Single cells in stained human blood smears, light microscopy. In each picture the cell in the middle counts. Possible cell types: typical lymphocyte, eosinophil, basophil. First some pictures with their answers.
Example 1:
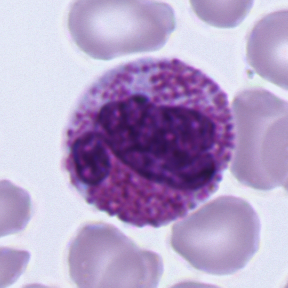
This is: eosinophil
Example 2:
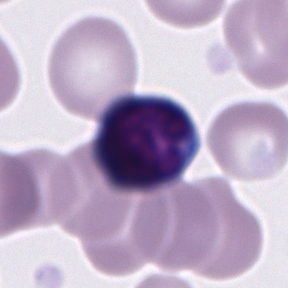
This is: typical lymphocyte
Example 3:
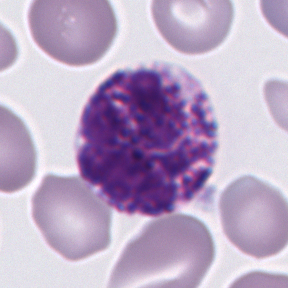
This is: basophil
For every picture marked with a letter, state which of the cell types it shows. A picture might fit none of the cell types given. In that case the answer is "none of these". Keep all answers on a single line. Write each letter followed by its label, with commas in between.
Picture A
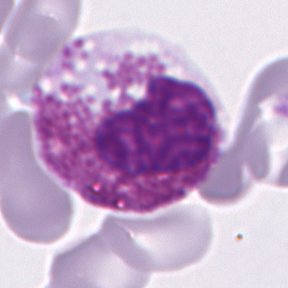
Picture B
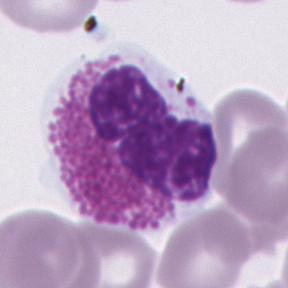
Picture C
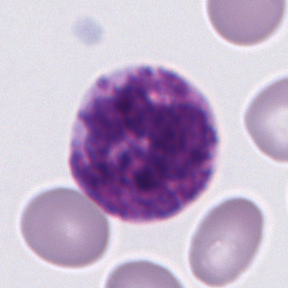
A eosinophil, B eosinophil, C basophil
